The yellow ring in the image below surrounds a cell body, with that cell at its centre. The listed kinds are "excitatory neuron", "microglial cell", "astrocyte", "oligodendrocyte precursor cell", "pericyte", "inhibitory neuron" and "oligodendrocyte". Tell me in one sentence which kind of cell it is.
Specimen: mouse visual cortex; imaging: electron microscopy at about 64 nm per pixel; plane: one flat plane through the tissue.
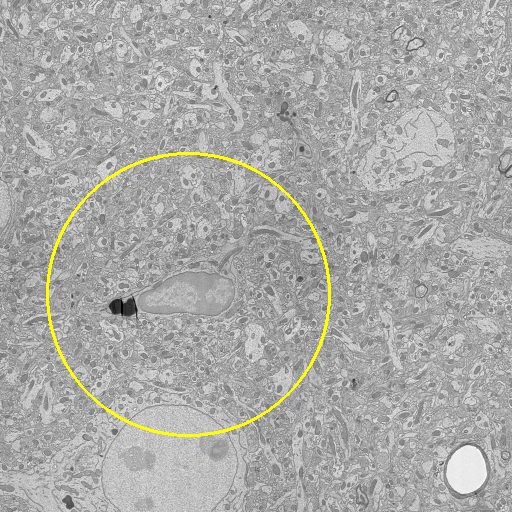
The centre of the ring holds a microglial cell.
